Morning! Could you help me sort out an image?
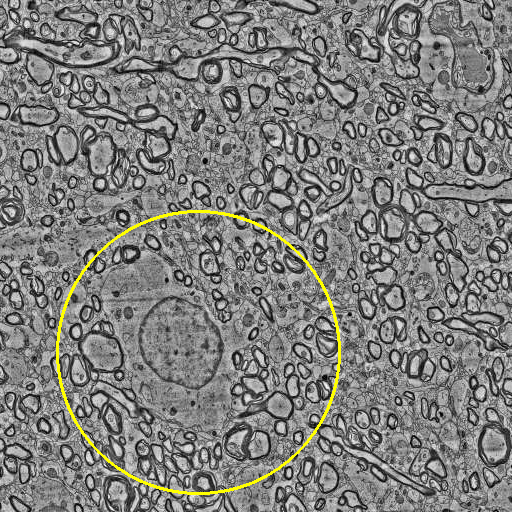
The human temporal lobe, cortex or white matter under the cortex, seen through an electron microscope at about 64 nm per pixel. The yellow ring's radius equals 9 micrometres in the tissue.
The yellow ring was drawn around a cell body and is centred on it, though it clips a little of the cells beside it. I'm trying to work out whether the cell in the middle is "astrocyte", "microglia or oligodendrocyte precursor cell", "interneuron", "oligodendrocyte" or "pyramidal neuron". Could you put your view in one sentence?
The ringed cell body is that of an astrocyte.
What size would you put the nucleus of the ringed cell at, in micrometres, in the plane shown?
About 6 micrometres by about 5 micrometres in this plane.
